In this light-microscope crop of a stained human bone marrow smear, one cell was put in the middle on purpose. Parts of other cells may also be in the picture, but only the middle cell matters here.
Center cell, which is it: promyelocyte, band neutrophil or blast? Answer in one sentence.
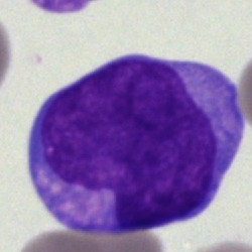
Answering briefly, the cell in the middle is a blast.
